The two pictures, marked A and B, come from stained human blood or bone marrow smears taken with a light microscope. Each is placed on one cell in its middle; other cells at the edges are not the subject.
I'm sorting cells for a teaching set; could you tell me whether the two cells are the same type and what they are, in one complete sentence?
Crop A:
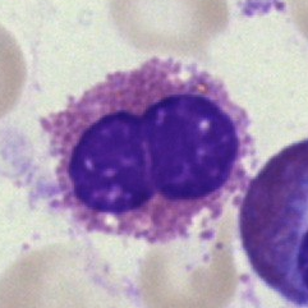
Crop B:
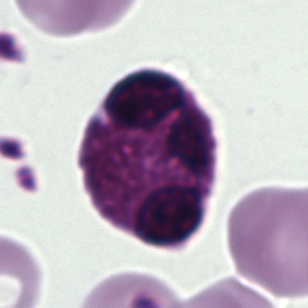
Yes, the centred cells are eosinophils in both crops.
